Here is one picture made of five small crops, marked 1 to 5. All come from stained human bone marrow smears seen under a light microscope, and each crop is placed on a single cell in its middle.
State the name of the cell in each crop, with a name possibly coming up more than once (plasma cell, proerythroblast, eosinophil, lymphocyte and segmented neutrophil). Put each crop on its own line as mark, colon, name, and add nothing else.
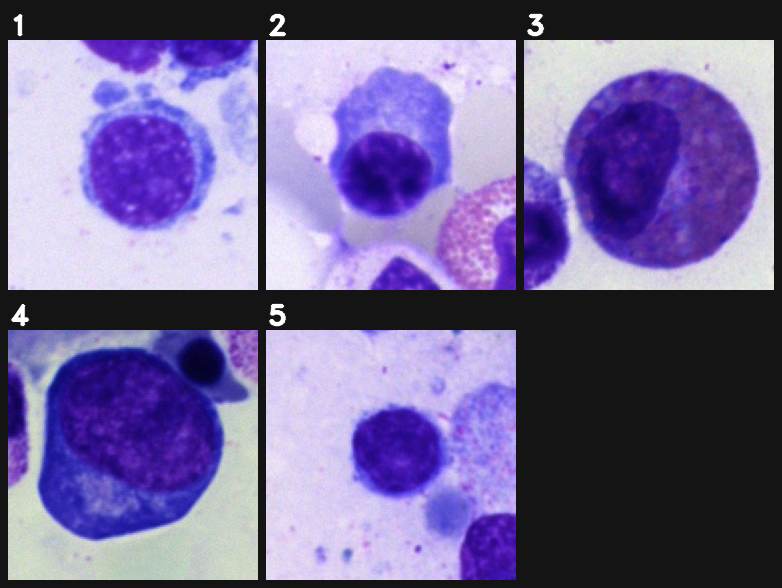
1: lymphocyte
2: plasma cell
3: eosinophil
4: proerythroblast
5: lymphocyte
